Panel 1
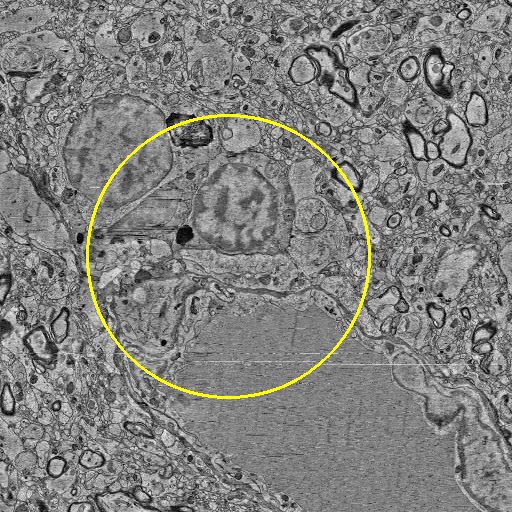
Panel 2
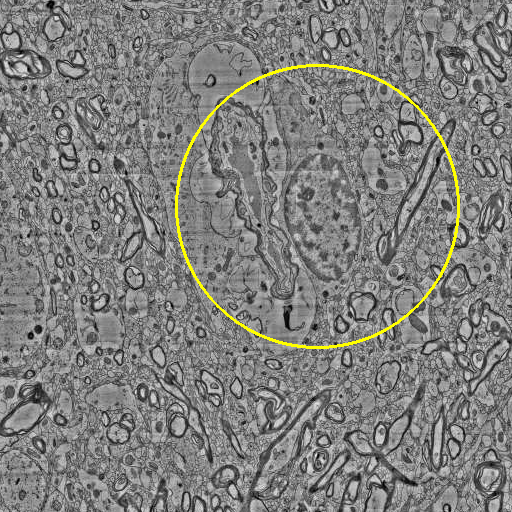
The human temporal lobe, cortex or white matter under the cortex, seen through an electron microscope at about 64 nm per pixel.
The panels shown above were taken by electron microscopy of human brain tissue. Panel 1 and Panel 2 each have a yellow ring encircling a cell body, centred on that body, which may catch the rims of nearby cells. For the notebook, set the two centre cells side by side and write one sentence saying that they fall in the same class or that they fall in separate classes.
The centred cells of Panel 1 and Panel 2 fall in the same class.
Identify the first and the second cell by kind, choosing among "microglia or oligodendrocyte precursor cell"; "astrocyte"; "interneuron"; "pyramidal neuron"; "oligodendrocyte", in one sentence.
In each picture the ringed cell is an oligodendrocyte.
